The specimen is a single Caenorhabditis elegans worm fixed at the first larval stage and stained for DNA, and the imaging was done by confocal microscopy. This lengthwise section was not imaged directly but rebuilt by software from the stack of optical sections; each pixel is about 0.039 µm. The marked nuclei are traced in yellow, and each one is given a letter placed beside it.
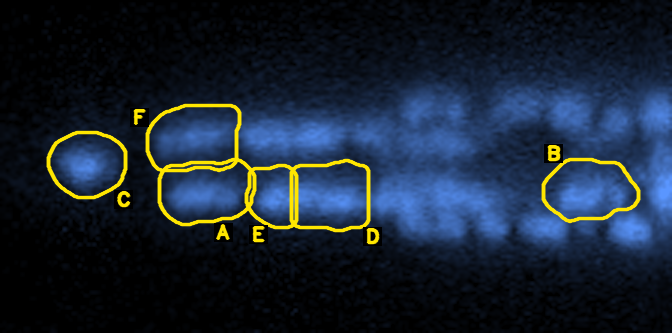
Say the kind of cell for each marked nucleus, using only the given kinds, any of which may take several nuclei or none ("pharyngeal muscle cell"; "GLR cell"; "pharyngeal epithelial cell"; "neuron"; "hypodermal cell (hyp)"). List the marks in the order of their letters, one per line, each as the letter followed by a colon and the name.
A: pharyngeal epithelial cell
B: neuron
C: hypodermal cell (hyp)
D: pharyngeal muscle cell
E: pharyngeal muscle cell
F: pharyngeal epithelial cell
